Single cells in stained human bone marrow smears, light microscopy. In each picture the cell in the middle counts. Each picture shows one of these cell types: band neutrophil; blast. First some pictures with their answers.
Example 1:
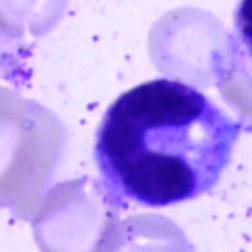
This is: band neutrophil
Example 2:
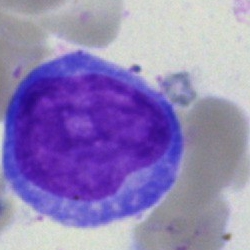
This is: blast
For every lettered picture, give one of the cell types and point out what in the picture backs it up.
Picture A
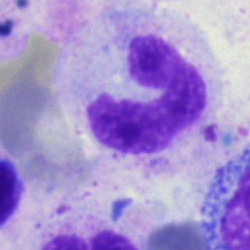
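band neutrophil. The chromatin is dark purple and coarsely clumped.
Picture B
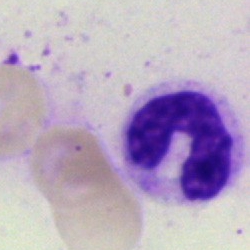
band neutrophil. The chromatin is dark purple and coarsely clumped.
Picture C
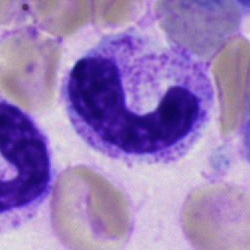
band neutrophil. Fine pink-purple granules are scattered throughout the cytoplasm.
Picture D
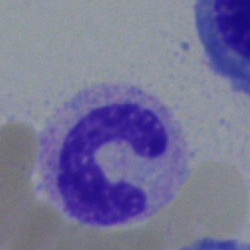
band neutrophil. The nucleus is bent into a C shape that opens towards the right.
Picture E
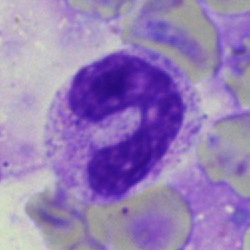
band neutrophil. The nucleus is a thick curved band bent into a C shape that opens toward the left.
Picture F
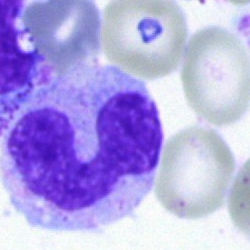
band neutrophil. The cytoplasm is plentiful and pale lilac-blue.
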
